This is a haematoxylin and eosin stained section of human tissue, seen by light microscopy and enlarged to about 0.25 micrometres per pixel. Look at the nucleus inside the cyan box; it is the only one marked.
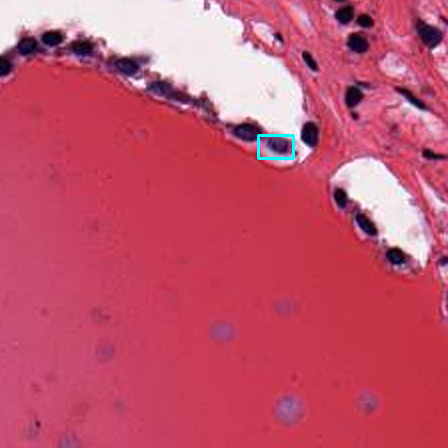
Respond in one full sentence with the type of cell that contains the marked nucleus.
The marked nucleus, in this picture, belongs to a thyroid follicular cell.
